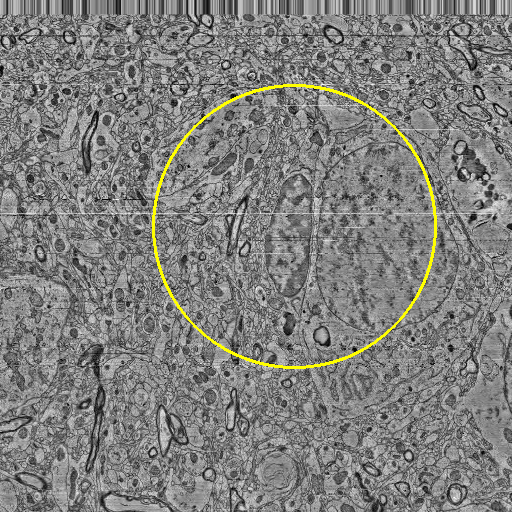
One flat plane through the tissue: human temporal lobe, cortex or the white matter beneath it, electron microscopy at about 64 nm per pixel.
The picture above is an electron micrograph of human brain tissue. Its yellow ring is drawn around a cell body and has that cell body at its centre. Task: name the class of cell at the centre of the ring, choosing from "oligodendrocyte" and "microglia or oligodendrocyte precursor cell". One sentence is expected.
The ring surrounds the body of a microglial cell or oligodendrocyte precursor cell.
